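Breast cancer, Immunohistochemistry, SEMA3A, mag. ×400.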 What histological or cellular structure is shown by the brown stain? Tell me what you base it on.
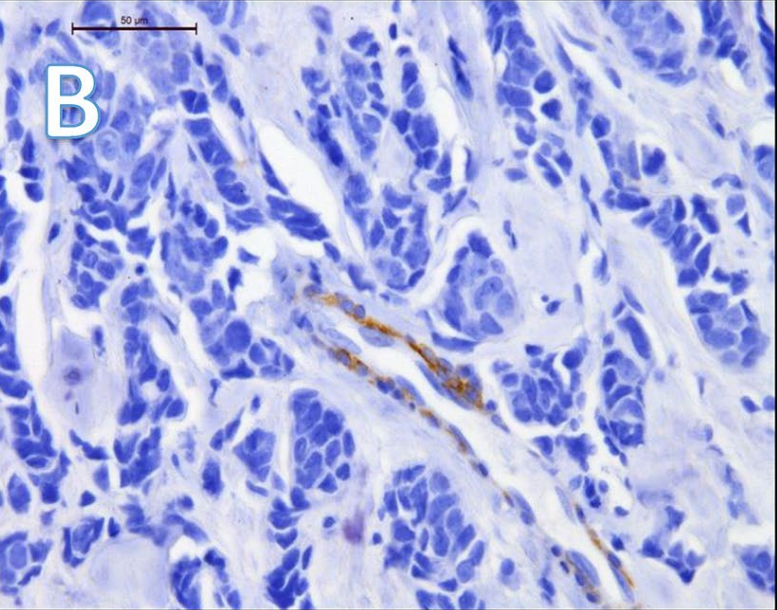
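Fine brown granules line a narrow, elongated channel that runs diagonally across the field. The channel has a slit-like empty lumen bordered by thin flattened cells. It lies in the pale stroma between nests of tumor cells.
Conclusion: tumor-associated vessels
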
